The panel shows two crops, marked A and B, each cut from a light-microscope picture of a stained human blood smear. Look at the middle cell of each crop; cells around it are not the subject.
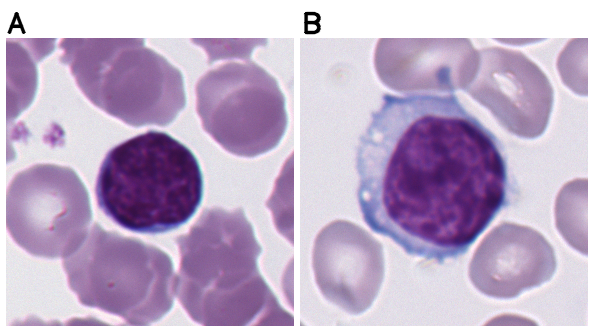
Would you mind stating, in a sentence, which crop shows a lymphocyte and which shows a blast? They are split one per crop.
Identification: crop A is a lymphocyte; crop B is a blast.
